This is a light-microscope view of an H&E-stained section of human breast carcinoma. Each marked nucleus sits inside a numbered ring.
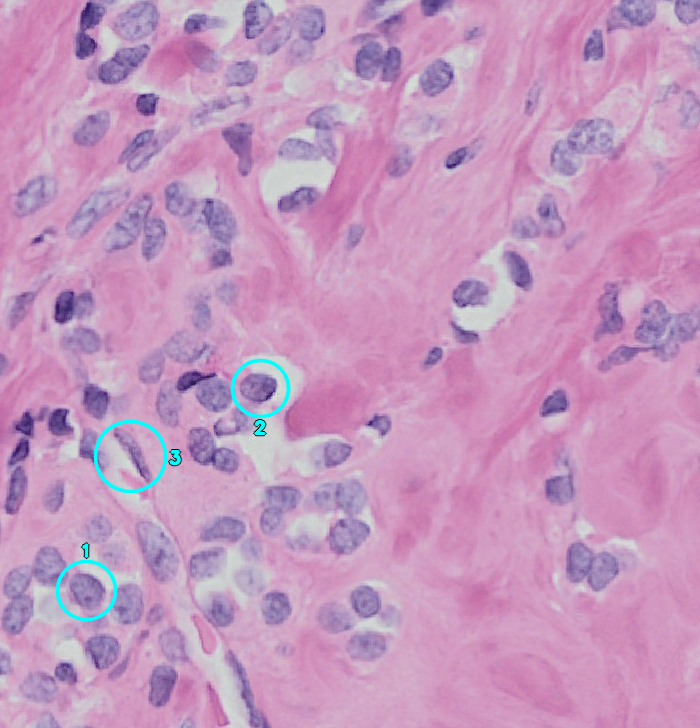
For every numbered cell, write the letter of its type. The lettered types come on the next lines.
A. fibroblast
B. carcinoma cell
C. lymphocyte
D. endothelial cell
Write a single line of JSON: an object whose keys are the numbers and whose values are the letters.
{"1": "B", "2": "B", "3": "D"}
